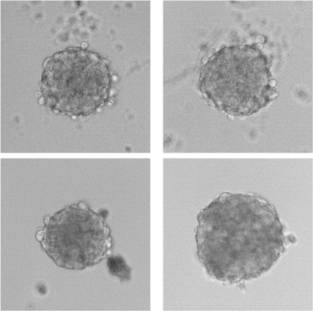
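The clusters are dense and dark in the centre, with individual rounded cells bulging outward along the rim. Scattered single rounded cells and small debris lie around several of the clusters. In the lower row one cluster is larger and more compact.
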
